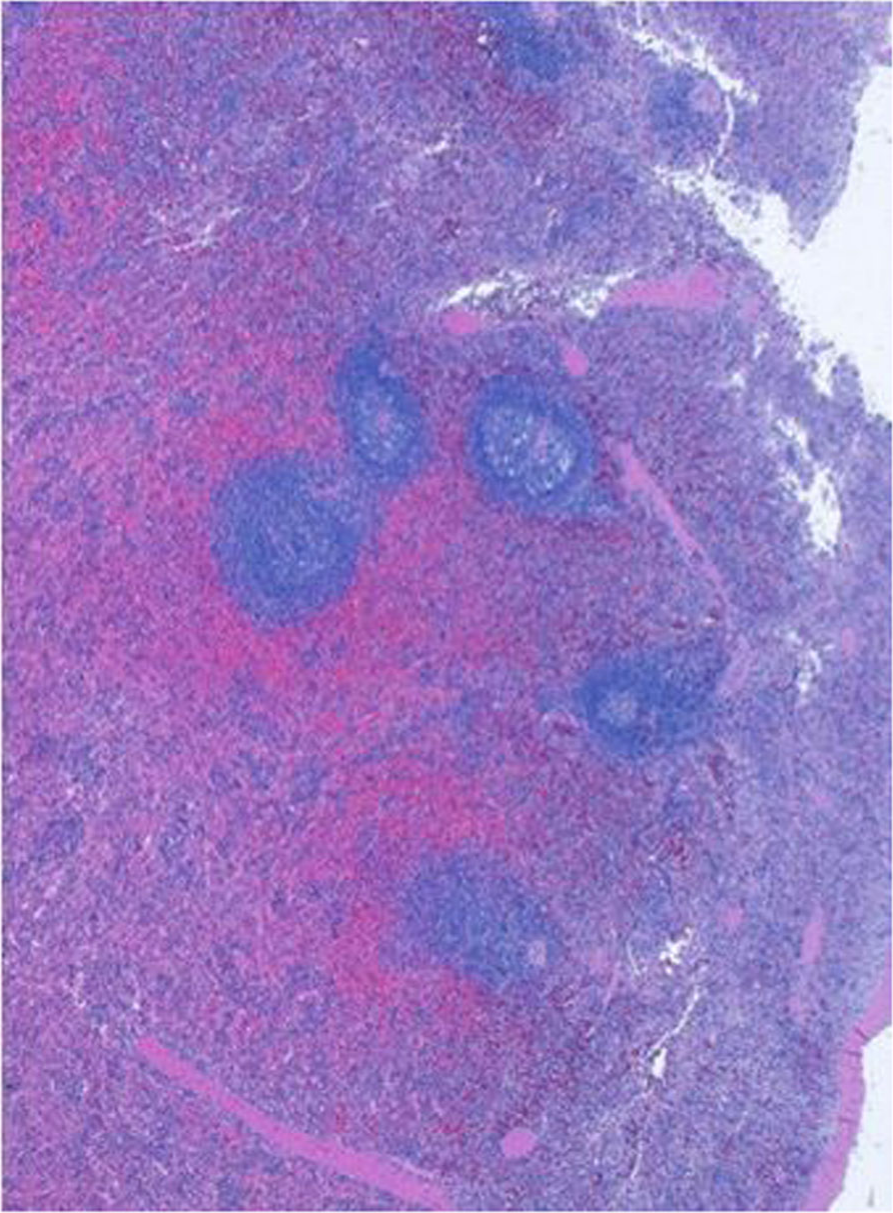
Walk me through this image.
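A low-power section of spleen shows several rounded, dense blue lymphoid follicles lying in pinker, blood-rich tissue around them. Some follicles have a paler centre surrounded by a darker rim of closely packed small lymphocytes. The surrounding pink-red tissue is speckled with many blue lymphoid cells, and thin pink vessel walls and a capsule edge are seen at the margins.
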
